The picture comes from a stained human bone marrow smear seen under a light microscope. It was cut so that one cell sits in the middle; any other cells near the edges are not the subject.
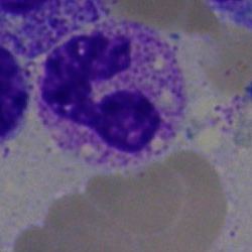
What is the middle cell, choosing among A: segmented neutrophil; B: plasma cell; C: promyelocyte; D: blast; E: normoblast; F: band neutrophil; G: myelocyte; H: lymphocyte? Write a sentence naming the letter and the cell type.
Option A gives the correct identity of the central cell, namely a segmented neutrophil.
